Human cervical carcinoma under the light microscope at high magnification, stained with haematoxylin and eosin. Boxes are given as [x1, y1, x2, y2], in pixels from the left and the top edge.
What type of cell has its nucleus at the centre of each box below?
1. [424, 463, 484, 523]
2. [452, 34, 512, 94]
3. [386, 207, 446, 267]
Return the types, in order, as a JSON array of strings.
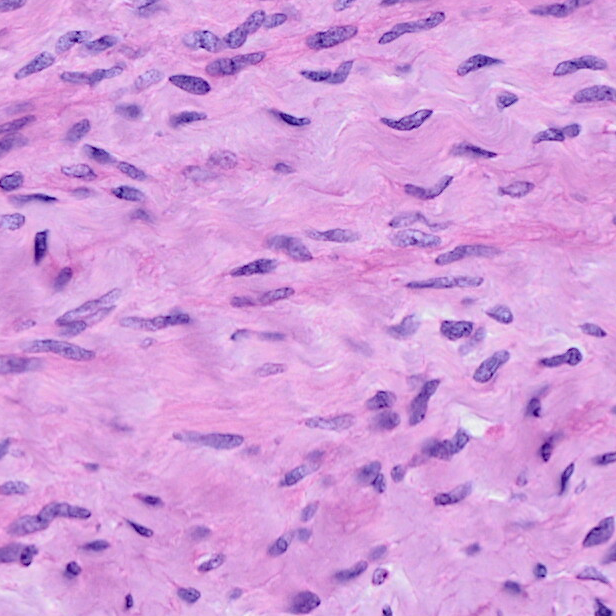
["fibroblast", "fibroblast", "smooth muscle cell"]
